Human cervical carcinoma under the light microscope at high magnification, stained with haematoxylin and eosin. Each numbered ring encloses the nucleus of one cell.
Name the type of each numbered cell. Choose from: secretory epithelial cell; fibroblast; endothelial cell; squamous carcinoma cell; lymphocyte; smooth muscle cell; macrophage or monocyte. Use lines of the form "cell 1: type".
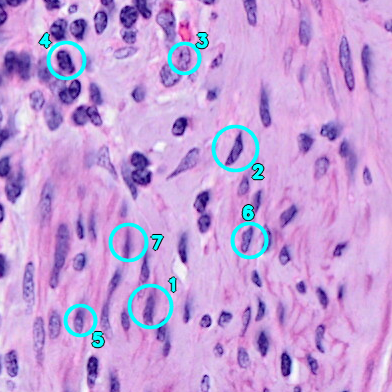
cell 1: smooth muscle cell
cell 2: fibroblast
cell 3: endothelial cell
cell 4: lymphocyte
cell 5: smooth muscle cell
cell 6: smooth muscle cell
cell 7: smooth muscle cell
